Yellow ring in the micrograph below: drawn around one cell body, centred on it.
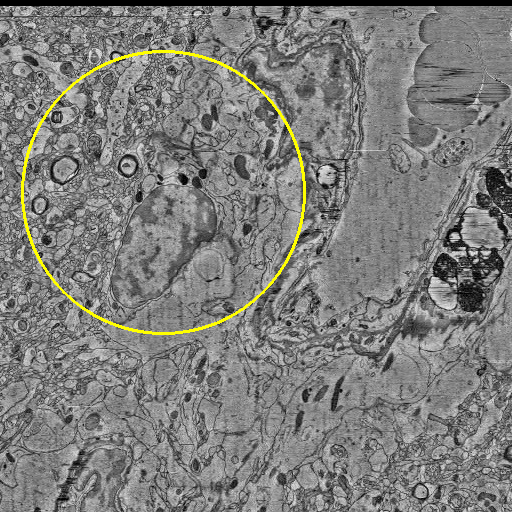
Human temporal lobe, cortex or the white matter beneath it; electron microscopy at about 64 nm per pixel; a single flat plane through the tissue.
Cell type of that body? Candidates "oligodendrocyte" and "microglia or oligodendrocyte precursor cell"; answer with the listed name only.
microglia or oligodendrocyte precursor cell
